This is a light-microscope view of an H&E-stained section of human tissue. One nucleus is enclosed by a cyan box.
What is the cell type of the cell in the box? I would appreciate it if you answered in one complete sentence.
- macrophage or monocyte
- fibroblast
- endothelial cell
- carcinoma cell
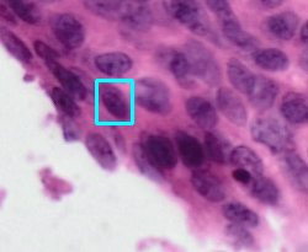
Considered by cell type, the cell in the box is a carcinoma cell.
